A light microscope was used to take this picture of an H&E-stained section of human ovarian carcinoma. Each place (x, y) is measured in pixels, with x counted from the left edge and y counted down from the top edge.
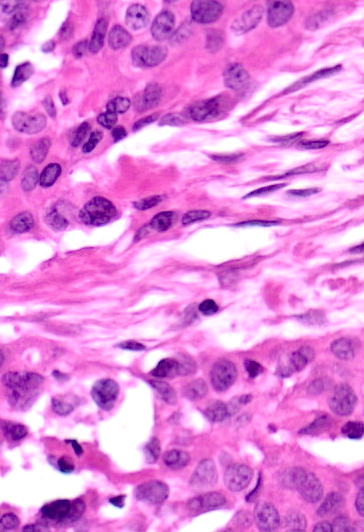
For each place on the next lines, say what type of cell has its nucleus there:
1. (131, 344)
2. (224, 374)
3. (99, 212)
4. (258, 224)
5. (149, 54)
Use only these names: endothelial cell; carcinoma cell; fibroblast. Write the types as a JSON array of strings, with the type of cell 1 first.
["fibroblast", "carcinoma cell", "carcinoma cell", "fibroblast", "carcinoma cell"]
